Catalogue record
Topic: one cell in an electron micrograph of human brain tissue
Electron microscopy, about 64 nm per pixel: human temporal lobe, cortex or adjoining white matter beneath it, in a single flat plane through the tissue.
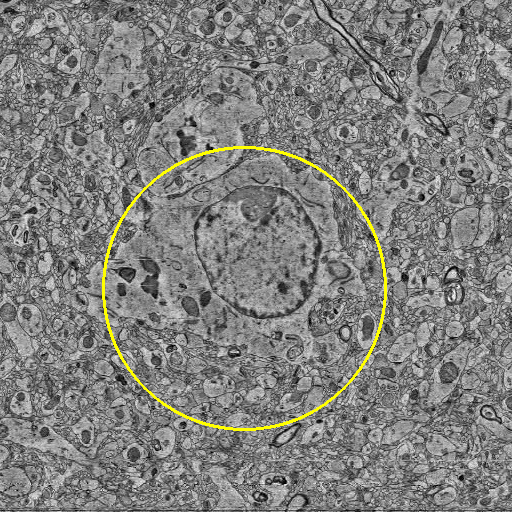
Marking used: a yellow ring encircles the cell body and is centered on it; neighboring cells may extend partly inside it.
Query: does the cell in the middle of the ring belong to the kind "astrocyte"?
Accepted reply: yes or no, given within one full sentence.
Yes, the cell centered in the ring in the picture is of that kind.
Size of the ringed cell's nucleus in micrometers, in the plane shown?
Roughly 8 micrometres across for the nucleus, in this plane.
